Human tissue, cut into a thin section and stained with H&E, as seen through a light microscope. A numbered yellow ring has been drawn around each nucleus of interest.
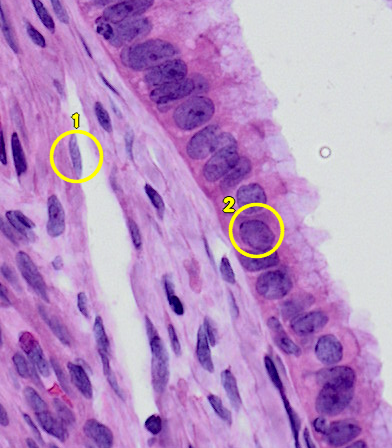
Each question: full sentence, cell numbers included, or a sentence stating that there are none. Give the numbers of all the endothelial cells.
The one cell that is an endothelial cell is cell 1, and no other.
